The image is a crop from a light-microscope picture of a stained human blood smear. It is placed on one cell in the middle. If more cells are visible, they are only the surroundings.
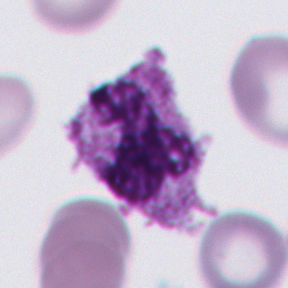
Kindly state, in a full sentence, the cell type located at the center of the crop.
The middle position in this crop is taken by a basophil.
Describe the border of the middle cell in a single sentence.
In outline, the cell is irregular, ragged in stretches or drawn into projections.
